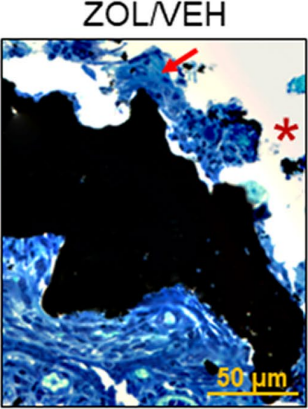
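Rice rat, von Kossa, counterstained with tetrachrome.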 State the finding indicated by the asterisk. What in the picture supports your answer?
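Exposed bone. The upper right edge of the black bone borders an empty white space. No continuous cell layer covers the bone on that side.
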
